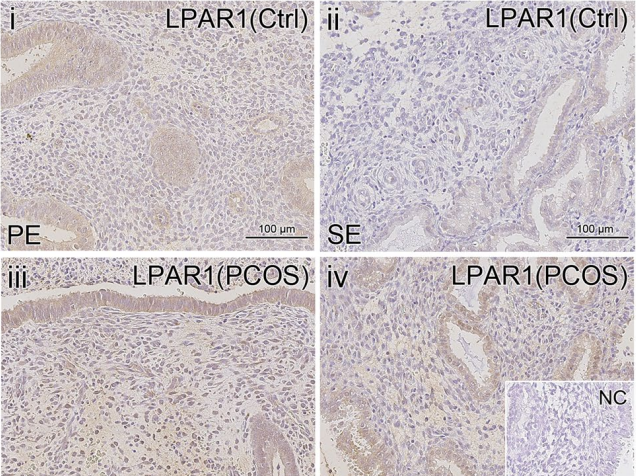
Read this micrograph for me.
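Endometrium with glands lined by tall columnar epithelium lying in a cellular stroma of small oval cells with blue nuclei. A faint, diffuse light-brown tint spreads over stroma and epithelium, somewhat stronger in the lower images. The inset shows only blue counterstain.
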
